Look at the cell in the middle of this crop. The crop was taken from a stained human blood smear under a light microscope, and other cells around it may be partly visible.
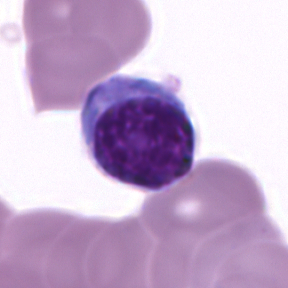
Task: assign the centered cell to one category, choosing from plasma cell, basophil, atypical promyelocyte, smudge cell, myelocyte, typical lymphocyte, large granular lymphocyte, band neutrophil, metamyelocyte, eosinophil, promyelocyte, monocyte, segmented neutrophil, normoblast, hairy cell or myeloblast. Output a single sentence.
Here the centrally located cell is a plasma cell.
